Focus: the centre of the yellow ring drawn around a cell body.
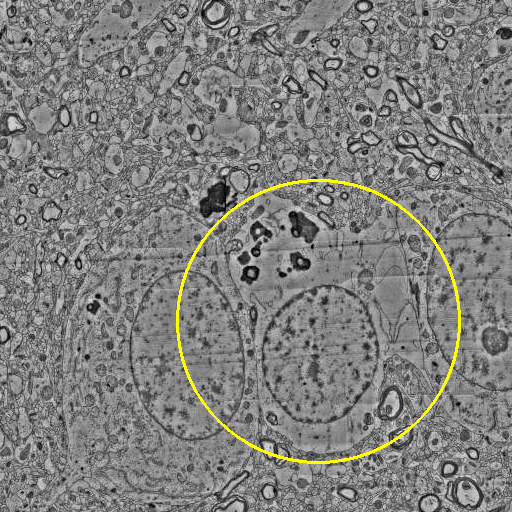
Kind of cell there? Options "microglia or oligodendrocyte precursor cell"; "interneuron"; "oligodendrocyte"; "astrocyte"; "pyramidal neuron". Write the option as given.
astrocyte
